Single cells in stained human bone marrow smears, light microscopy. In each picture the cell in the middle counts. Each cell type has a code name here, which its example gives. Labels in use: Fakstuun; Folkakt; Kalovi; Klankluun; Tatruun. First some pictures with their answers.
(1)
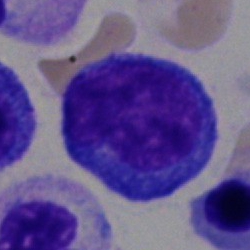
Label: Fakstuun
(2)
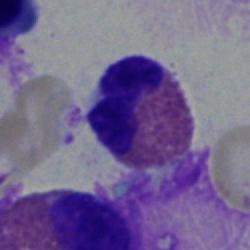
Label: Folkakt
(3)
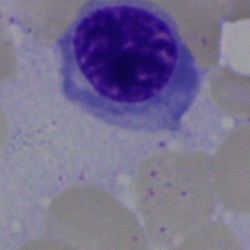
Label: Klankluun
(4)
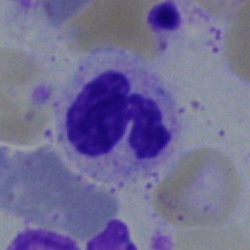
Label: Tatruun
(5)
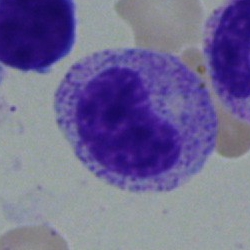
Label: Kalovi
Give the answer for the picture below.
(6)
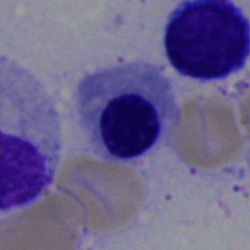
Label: Klankluun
